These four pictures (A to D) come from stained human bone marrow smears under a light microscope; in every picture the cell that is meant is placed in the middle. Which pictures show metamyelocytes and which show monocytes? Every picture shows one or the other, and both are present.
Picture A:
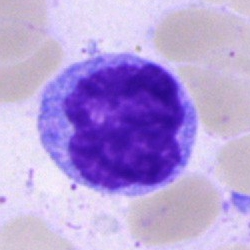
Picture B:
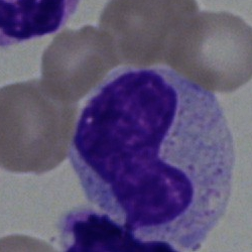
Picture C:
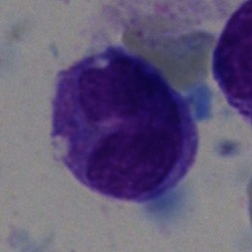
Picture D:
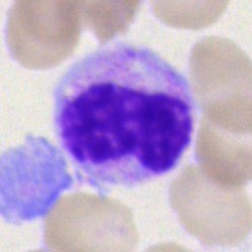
A: monocyte
B: metamyelocyte
C: monocyte
D: metamyelocyte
